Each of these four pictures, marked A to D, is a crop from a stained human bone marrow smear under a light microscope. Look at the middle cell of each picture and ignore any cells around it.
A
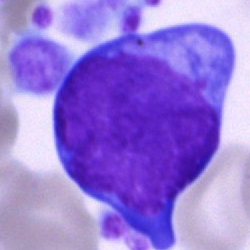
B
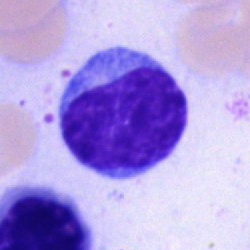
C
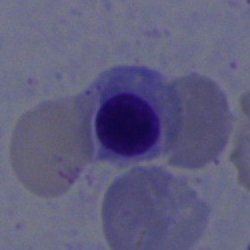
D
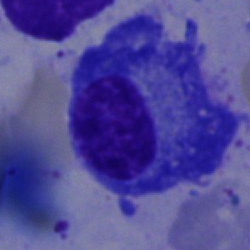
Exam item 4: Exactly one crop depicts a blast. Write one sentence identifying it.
Crop A is the one depicting a blast.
